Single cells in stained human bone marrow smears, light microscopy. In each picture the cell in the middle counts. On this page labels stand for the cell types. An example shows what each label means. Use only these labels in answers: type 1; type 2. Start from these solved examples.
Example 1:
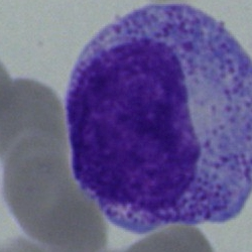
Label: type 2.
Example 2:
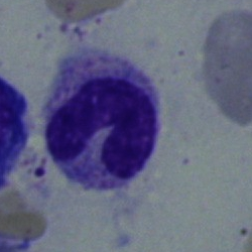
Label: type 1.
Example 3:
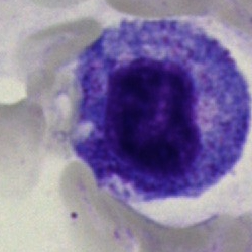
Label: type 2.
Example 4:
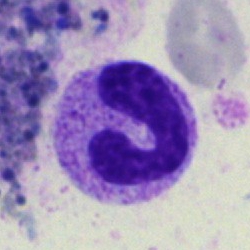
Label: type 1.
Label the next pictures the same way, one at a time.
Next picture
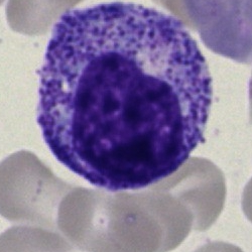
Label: type 2.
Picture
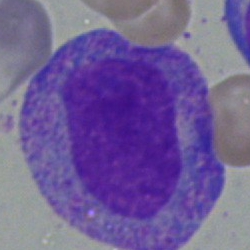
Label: type 2.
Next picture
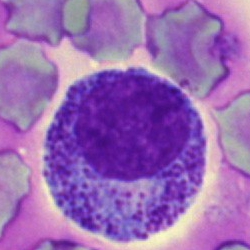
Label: type 2.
